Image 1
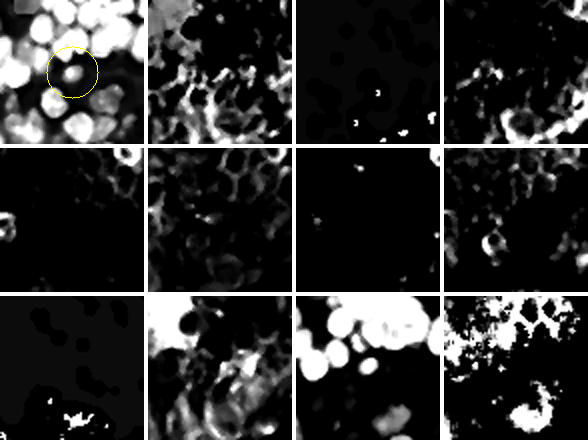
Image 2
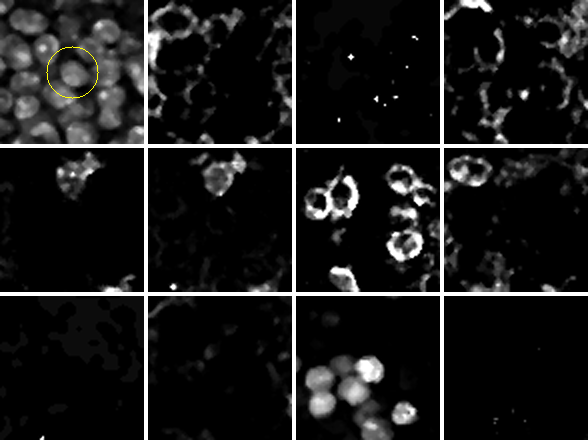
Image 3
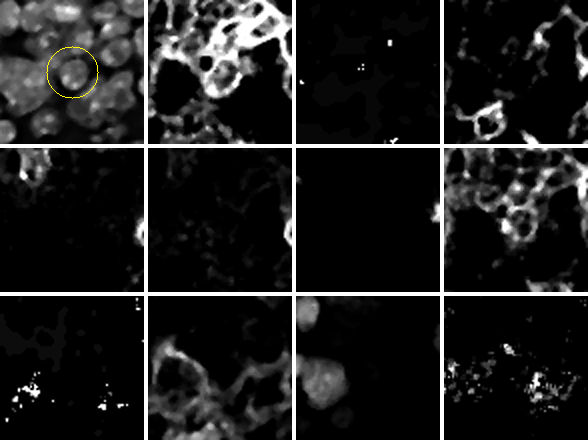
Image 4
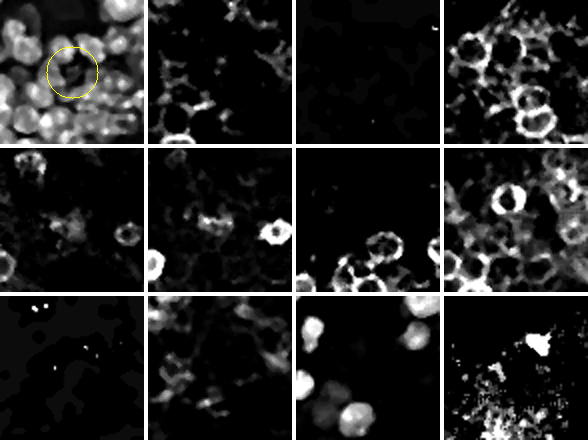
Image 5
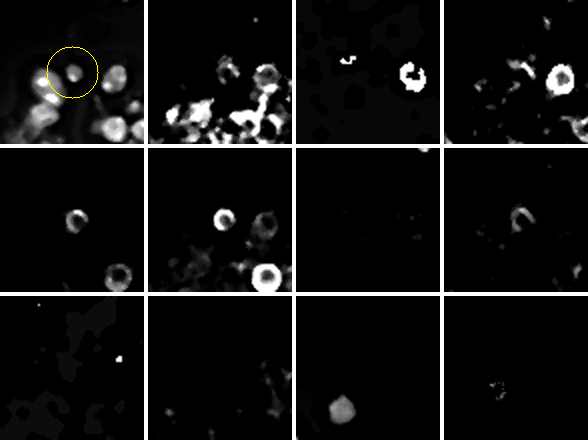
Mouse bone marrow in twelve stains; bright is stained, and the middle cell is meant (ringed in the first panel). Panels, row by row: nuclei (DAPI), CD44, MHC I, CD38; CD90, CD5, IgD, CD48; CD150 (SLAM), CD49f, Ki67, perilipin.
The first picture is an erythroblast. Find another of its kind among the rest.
Picture 2.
